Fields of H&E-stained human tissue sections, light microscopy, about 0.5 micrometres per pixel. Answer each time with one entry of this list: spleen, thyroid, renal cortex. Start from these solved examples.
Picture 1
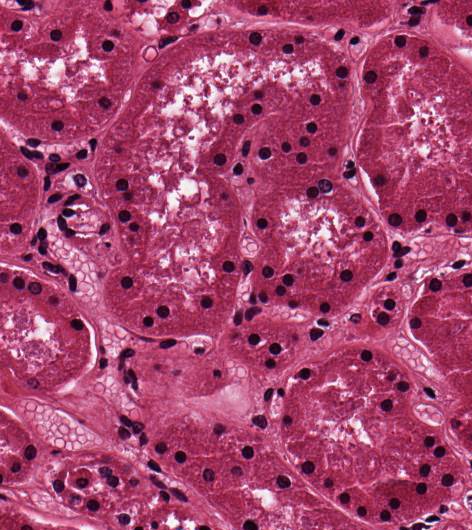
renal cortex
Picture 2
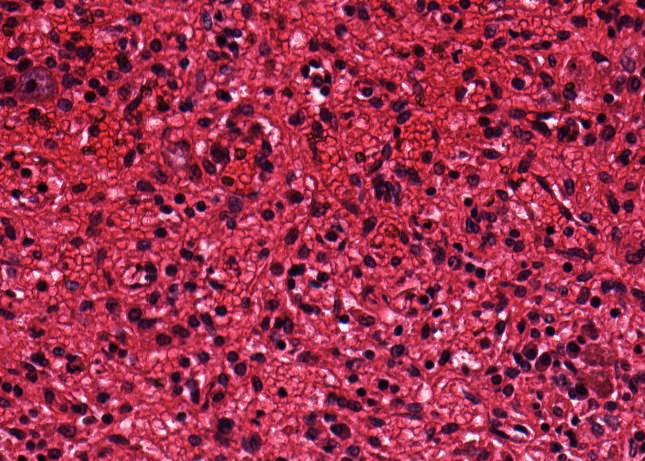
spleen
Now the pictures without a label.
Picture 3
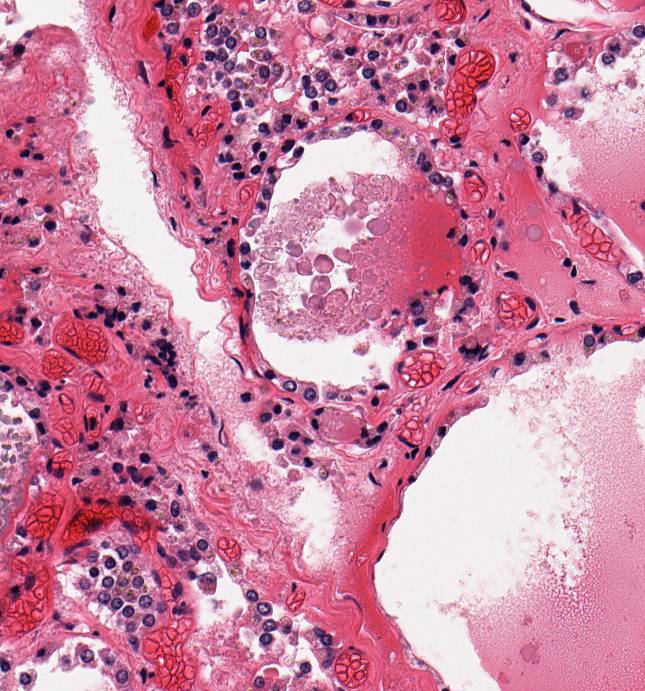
thyroid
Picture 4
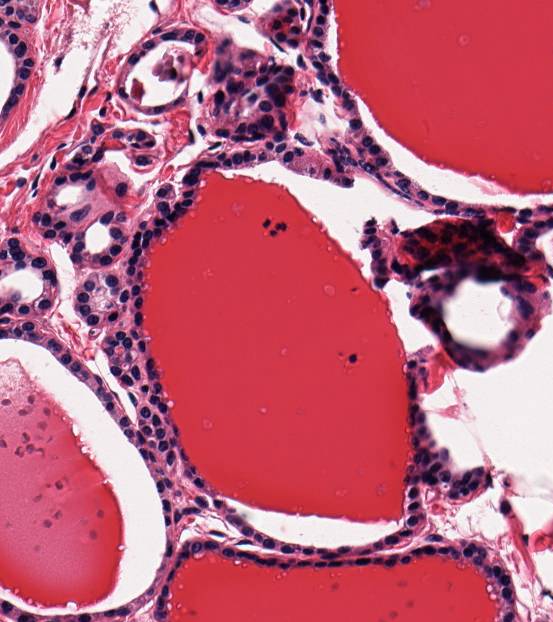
thyroid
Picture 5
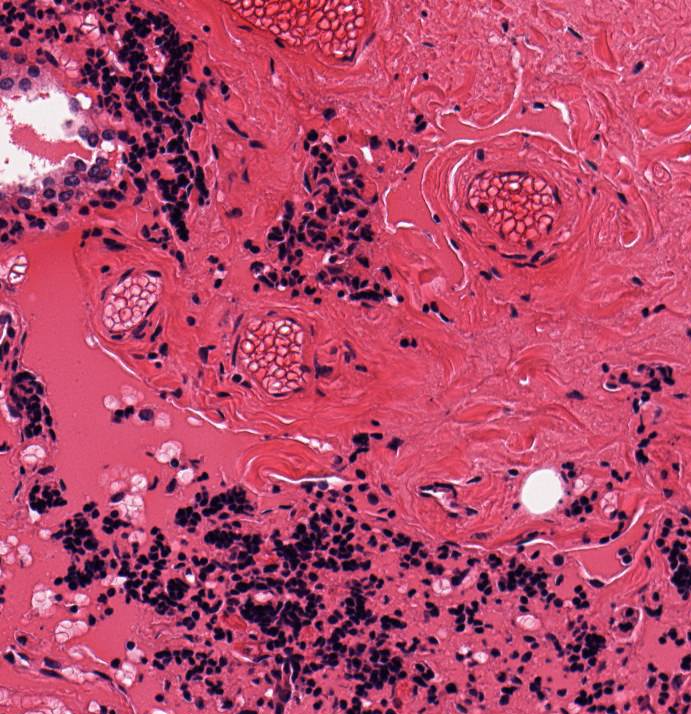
thyroid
